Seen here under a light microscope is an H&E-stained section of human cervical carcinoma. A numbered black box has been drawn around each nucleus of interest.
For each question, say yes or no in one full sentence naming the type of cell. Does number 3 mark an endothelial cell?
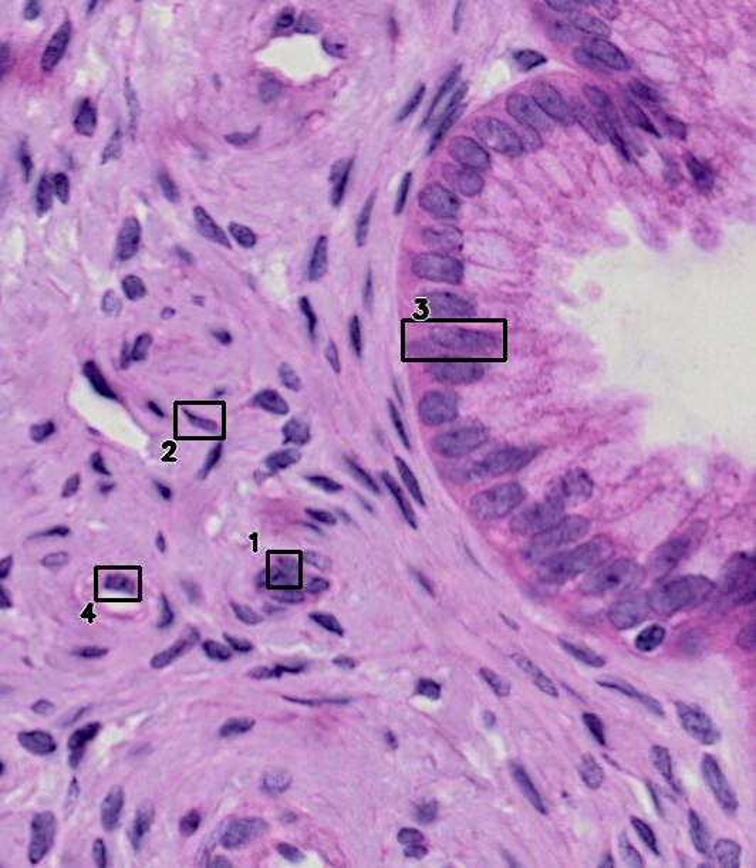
No, cell 3 is identified not as an endothelial cell but as a secretory epithelial cell.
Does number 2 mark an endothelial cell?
No, calling cell 2 an endothelial cell is a mistake; it is a fibroblast.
